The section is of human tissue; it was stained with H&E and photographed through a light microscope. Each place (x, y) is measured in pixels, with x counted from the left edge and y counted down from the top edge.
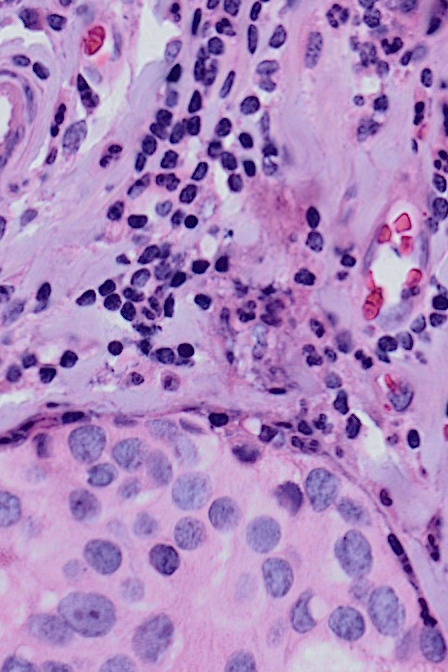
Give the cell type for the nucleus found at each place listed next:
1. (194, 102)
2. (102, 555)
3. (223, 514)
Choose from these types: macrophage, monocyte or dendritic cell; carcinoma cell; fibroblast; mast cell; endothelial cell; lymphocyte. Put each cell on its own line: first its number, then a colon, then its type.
1: lymphocyte
2: carcinoma cell
3: carcinoma cell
